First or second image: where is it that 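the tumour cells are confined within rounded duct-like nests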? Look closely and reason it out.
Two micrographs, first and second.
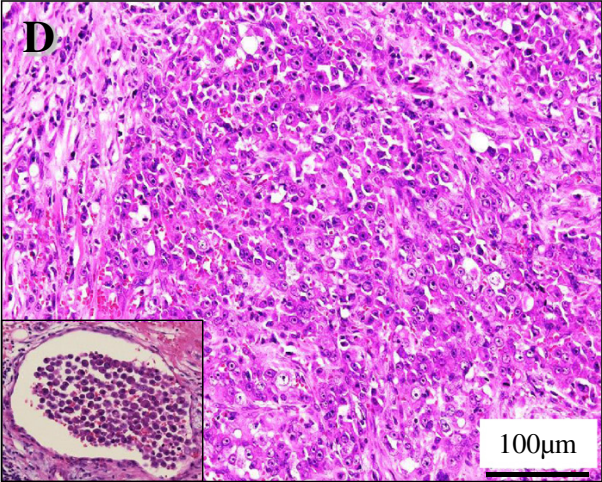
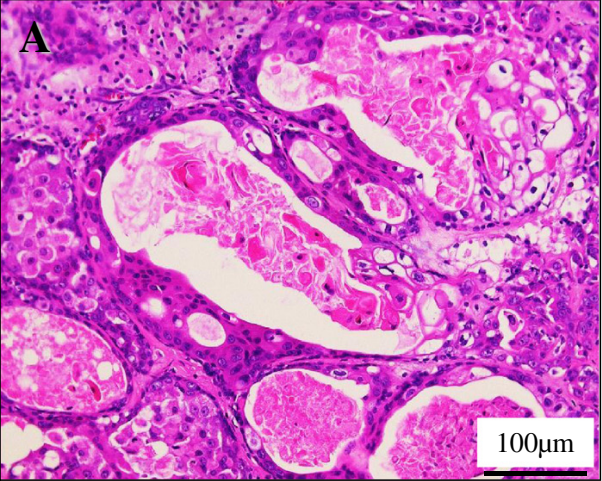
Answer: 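The second image. First image: atypical cells spread diffusely in sheets and trabeculae with no duct outlines. Second image: tumour cells line rounded nests with lumens, separated by thin stroma.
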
